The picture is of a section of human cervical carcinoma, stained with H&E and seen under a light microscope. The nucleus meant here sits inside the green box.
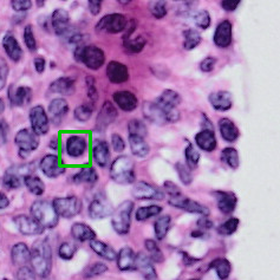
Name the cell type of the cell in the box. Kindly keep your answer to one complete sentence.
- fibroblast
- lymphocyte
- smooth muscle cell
In this tissue section, the cell in the box is to be classed as a lymphocyte.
